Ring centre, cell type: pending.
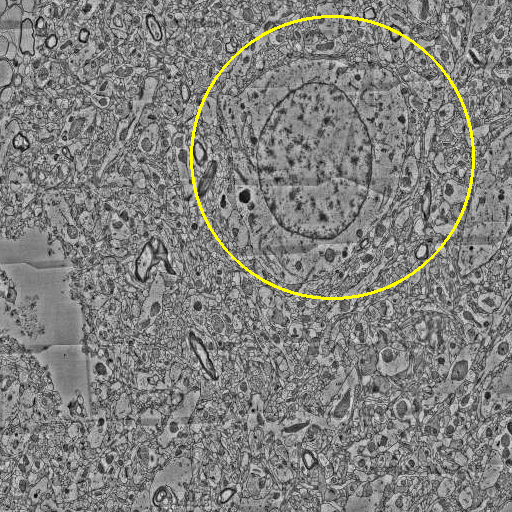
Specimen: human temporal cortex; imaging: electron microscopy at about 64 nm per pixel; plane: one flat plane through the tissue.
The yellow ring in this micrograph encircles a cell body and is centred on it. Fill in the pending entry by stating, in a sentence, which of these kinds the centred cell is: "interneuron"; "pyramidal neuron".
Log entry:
The centred cell is recorded as a pyramidal neuron.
